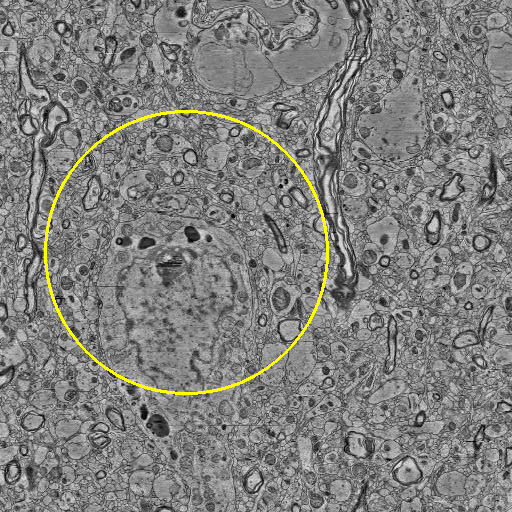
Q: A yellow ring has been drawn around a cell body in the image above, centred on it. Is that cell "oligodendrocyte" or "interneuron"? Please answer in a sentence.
The ring surrounds the cell body of an interneuron.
